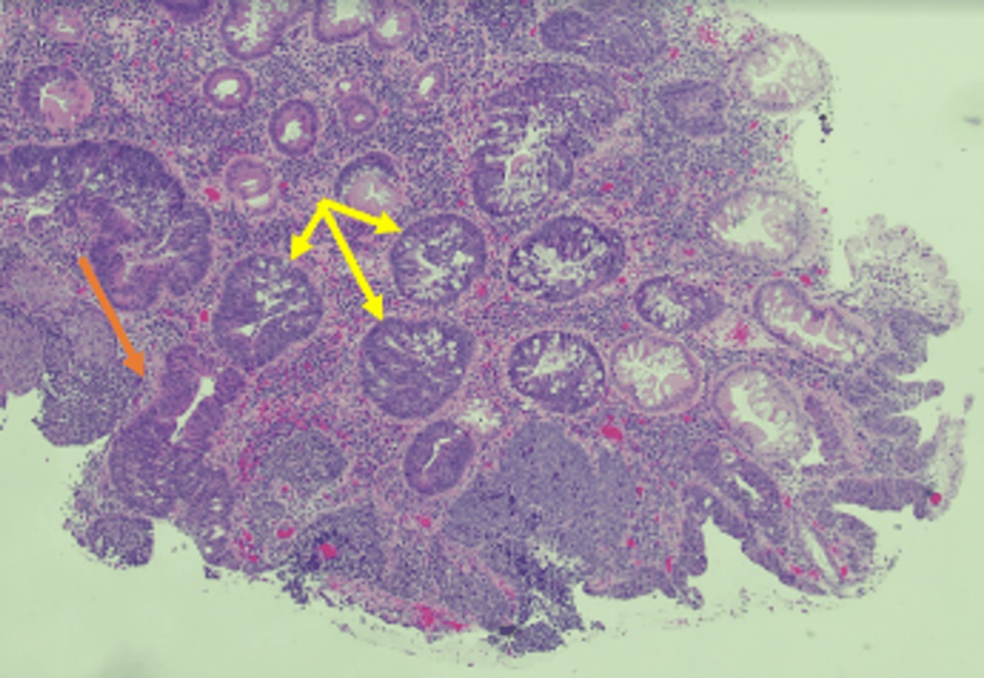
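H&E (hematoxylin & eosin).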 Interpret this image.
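This low-power view shows colonic mucosa in which glands are separated by sheets of small to medium round blue cells. The glands are cut mostly in cross-section as round or oval profiles, each with a central lumen lined by columnar epithelium. Some glands, toward the right, have pale, mucin-filled cells. Others are lined by crowded, elongated, dark purple nuclei with little mucin and have irregular, folded lumens, indicating dysplasia. Between the glands lie dense populations of small cells with round dark nuclei and scant cytoplasm. These cells form solid areas along the lower edge. Scattered red blood cells appear as bright pink spots.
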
